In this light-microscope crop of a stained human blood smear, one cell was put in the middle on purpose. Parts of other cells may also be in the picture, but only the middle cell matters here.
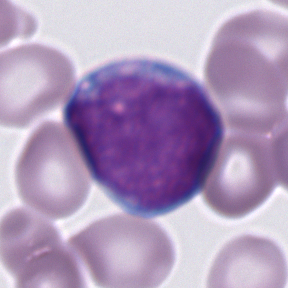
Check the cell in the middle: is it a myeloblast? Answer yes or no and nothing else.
yes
